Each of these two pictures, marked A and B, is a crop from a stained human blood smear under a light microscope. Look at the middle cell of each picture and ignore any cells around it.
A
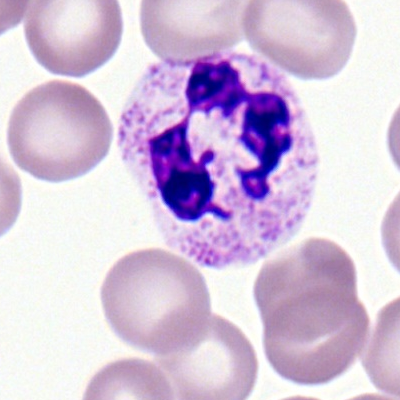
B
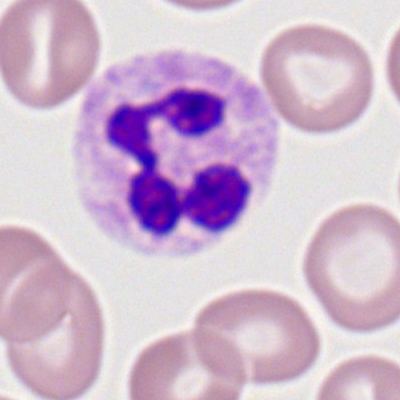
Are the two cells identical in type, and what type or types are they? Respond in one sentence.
Yes, both crops show a cell each, and these are segmented neutrophils.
